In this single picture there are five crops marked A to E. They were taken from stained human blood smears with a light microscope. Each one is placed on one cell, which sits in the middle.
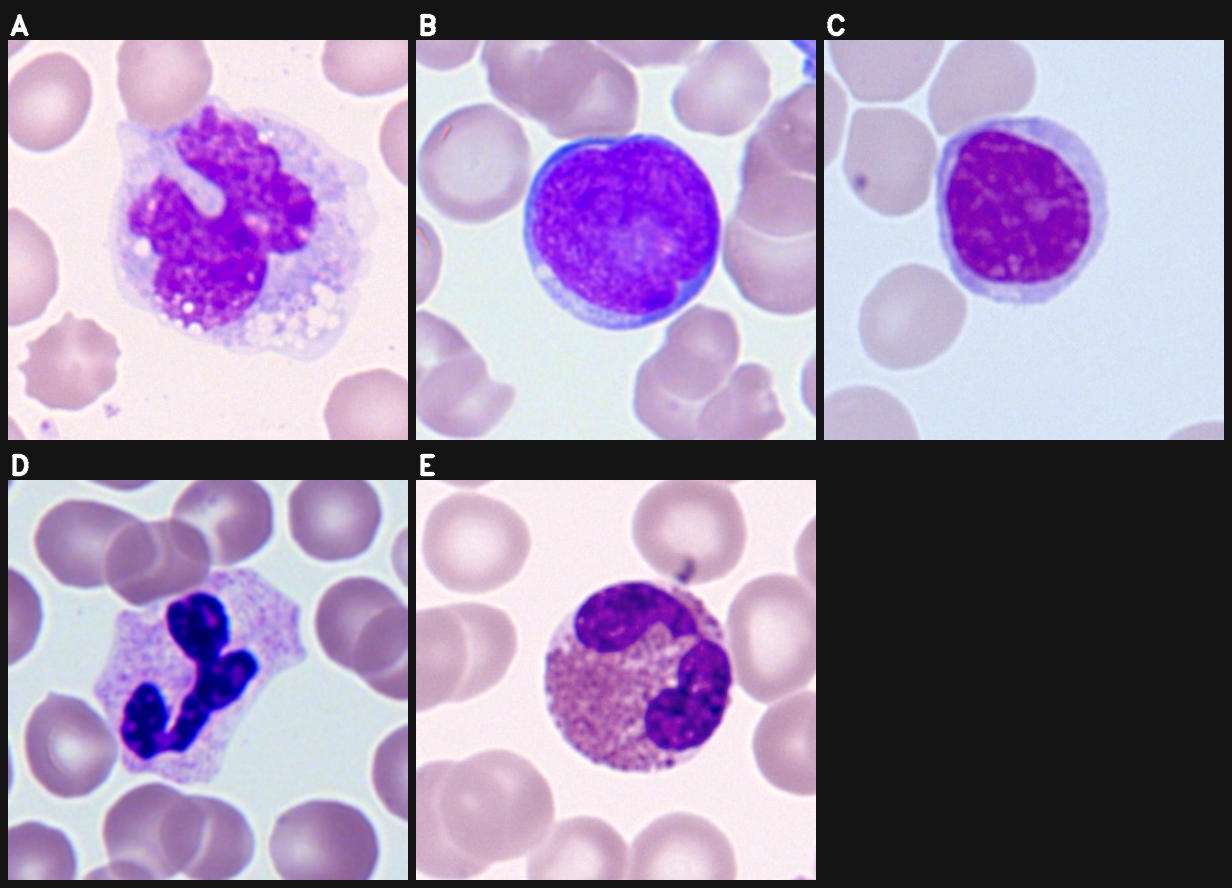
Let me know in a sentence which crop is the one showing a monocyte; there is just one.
In this set, crop A is the one showing a monocyte.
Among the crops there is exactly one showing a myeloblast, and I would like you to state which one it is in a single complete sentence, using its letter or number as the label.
Crop B is the single crop that shows a myeloblast.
